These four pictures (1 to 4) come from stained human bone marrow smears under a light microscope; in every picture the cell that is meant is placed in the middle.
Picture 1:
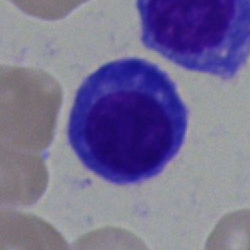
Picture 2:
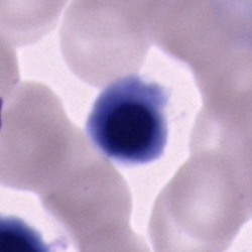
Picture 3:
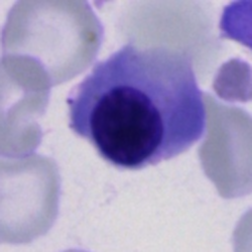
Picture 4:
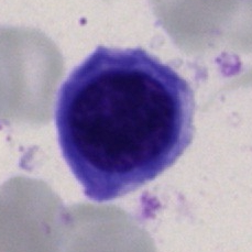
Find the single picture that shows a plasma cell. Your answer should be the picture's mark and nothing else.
1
